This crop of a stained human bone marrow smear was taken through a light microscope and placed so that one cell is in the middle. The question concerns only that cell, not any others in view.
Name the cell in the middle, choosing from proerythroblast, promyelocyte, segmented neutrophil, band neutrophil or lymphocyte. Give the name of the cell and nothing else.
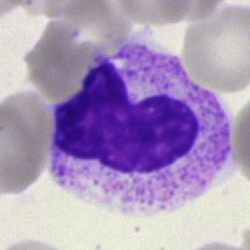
band neutrophil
